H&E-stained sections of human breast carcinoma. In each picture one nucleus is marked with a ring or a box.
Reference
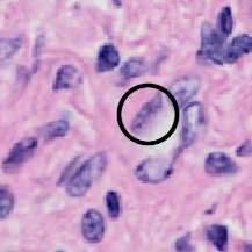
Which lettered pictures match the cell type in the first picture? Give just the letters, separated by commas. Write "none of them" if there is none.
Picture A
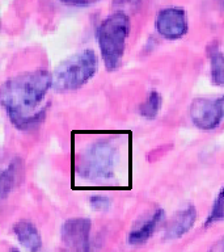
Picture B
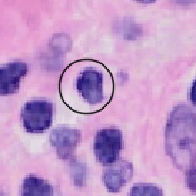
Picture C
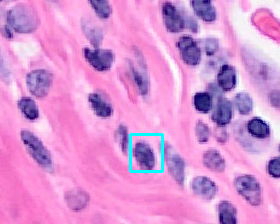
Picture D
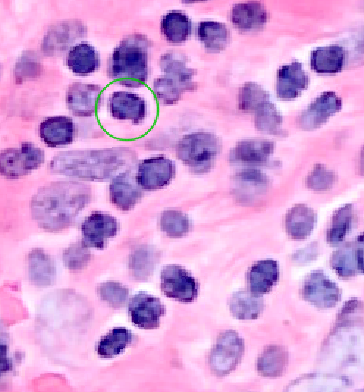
A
